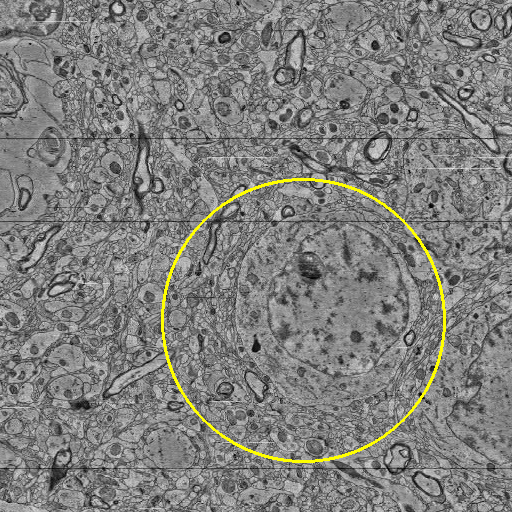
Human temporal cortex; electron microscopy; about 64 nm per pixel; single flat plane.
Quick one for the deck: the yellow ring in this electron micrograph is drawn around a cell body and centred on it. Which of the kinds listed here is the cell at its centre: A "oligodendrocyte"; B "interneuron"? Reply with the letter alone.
B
